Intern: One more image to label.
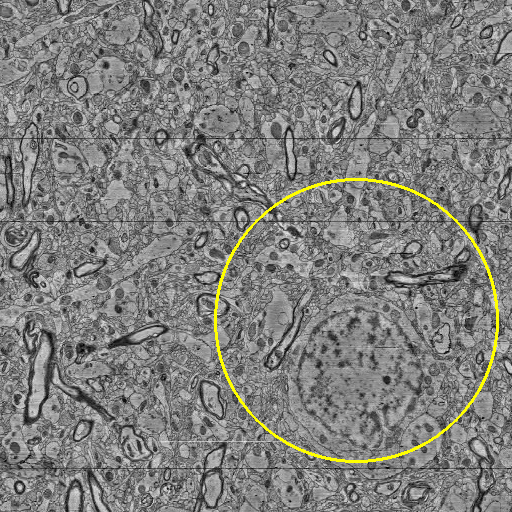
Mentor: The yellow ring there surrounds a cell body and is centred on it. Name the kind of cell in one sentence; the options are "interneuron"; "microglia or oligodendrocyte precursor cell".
The ring marks the cell body of an interneuron.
